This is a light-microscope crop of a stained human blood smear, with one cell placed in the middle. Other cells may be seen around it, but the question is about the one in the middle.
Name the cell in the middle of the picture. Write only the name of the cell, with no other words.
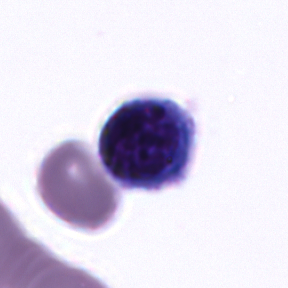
plasma cell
